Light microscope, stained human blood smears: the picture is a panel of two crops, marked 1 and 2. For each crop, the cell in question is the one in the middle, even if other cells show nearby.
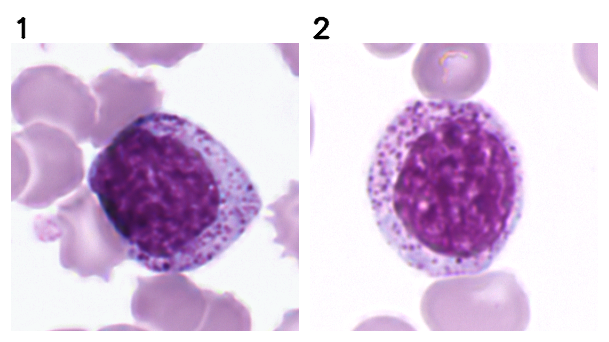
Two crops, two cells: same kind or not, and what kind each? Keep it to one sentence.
Yes, myelocytes are the cells in the middle of both crops.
